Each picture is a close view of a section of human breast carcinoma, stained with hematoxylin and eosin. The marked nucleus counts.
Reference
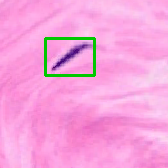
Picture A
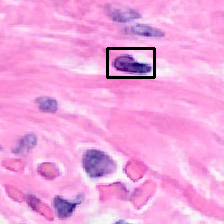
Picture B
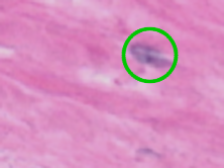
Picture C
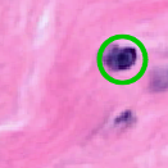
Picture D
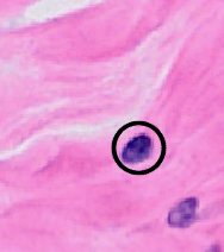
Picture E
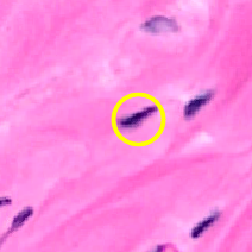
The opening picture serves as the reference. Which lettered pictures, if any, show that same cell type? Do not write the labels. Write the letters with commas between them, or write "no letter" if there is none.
B, E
